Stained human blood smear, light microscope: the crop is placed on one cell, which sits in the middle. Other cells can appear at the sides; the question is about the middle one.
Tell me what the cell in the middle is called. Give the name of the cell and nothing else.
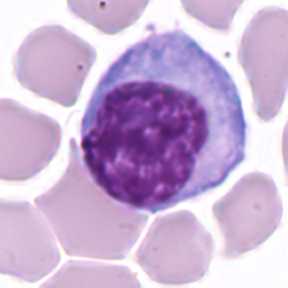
plasma cell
